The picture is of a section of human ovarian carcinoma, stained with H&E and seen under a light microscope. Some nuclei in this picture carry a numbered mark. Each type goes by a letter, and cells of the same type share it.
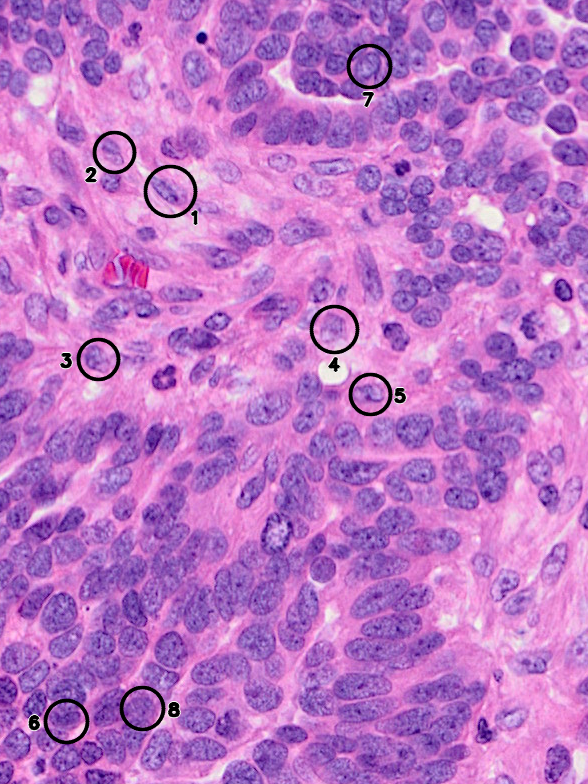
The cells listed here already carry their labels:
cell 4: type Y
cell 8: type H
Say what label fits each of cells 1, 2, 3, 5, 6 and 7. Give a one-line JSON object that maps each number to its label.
{"1": "type Y", "2": "type Y", "3": "type Y", "5": "type Y", "6": "type H", "7": "type H"}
